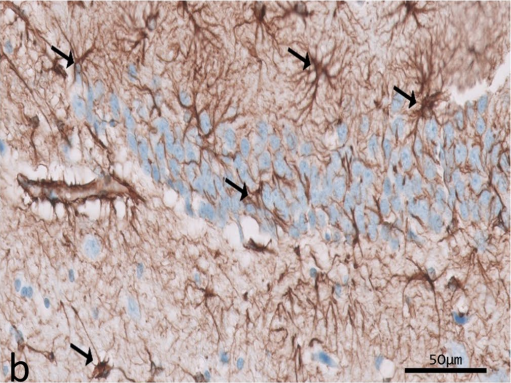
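This is a section of the hippocampus in which a compact band of pyramidal neurons, seen only as pale blue oval nuclei, runs diagonally across the field. Above and below this band lie astrocytes stained dark brown: each has a small cell body from which many thin, branching processes radiate like a star. Their processes weave a dense brown meshwork through the surrounding neuropil, and some slender processes reach in between the neuronal nuclei. At the left a blood vessel is outlined by brown-stained processes.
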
